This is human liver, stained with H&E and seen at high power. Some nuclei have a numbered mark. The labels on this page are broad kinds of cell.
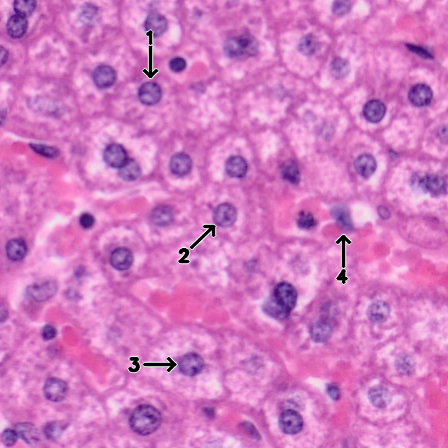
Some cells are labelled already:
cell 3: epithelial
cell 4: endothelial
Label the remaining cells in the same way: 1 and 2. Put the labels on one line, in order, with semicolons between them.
epithelial; epithelial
